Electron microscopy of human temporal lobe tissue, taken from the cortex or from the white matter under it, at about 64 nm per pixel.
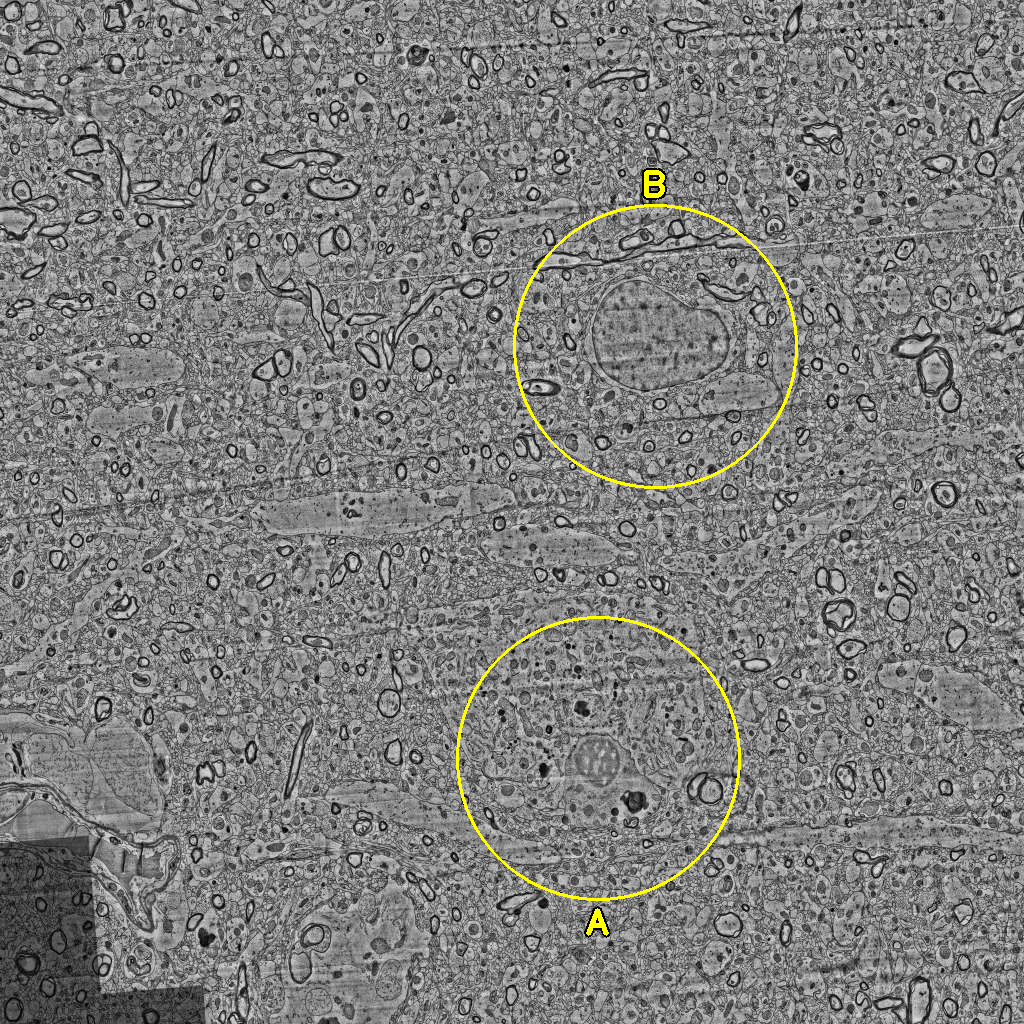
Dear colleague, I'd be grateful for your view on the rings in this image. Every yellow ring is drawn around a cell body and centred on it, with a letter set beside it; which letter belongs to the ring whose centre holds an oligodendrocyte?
A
